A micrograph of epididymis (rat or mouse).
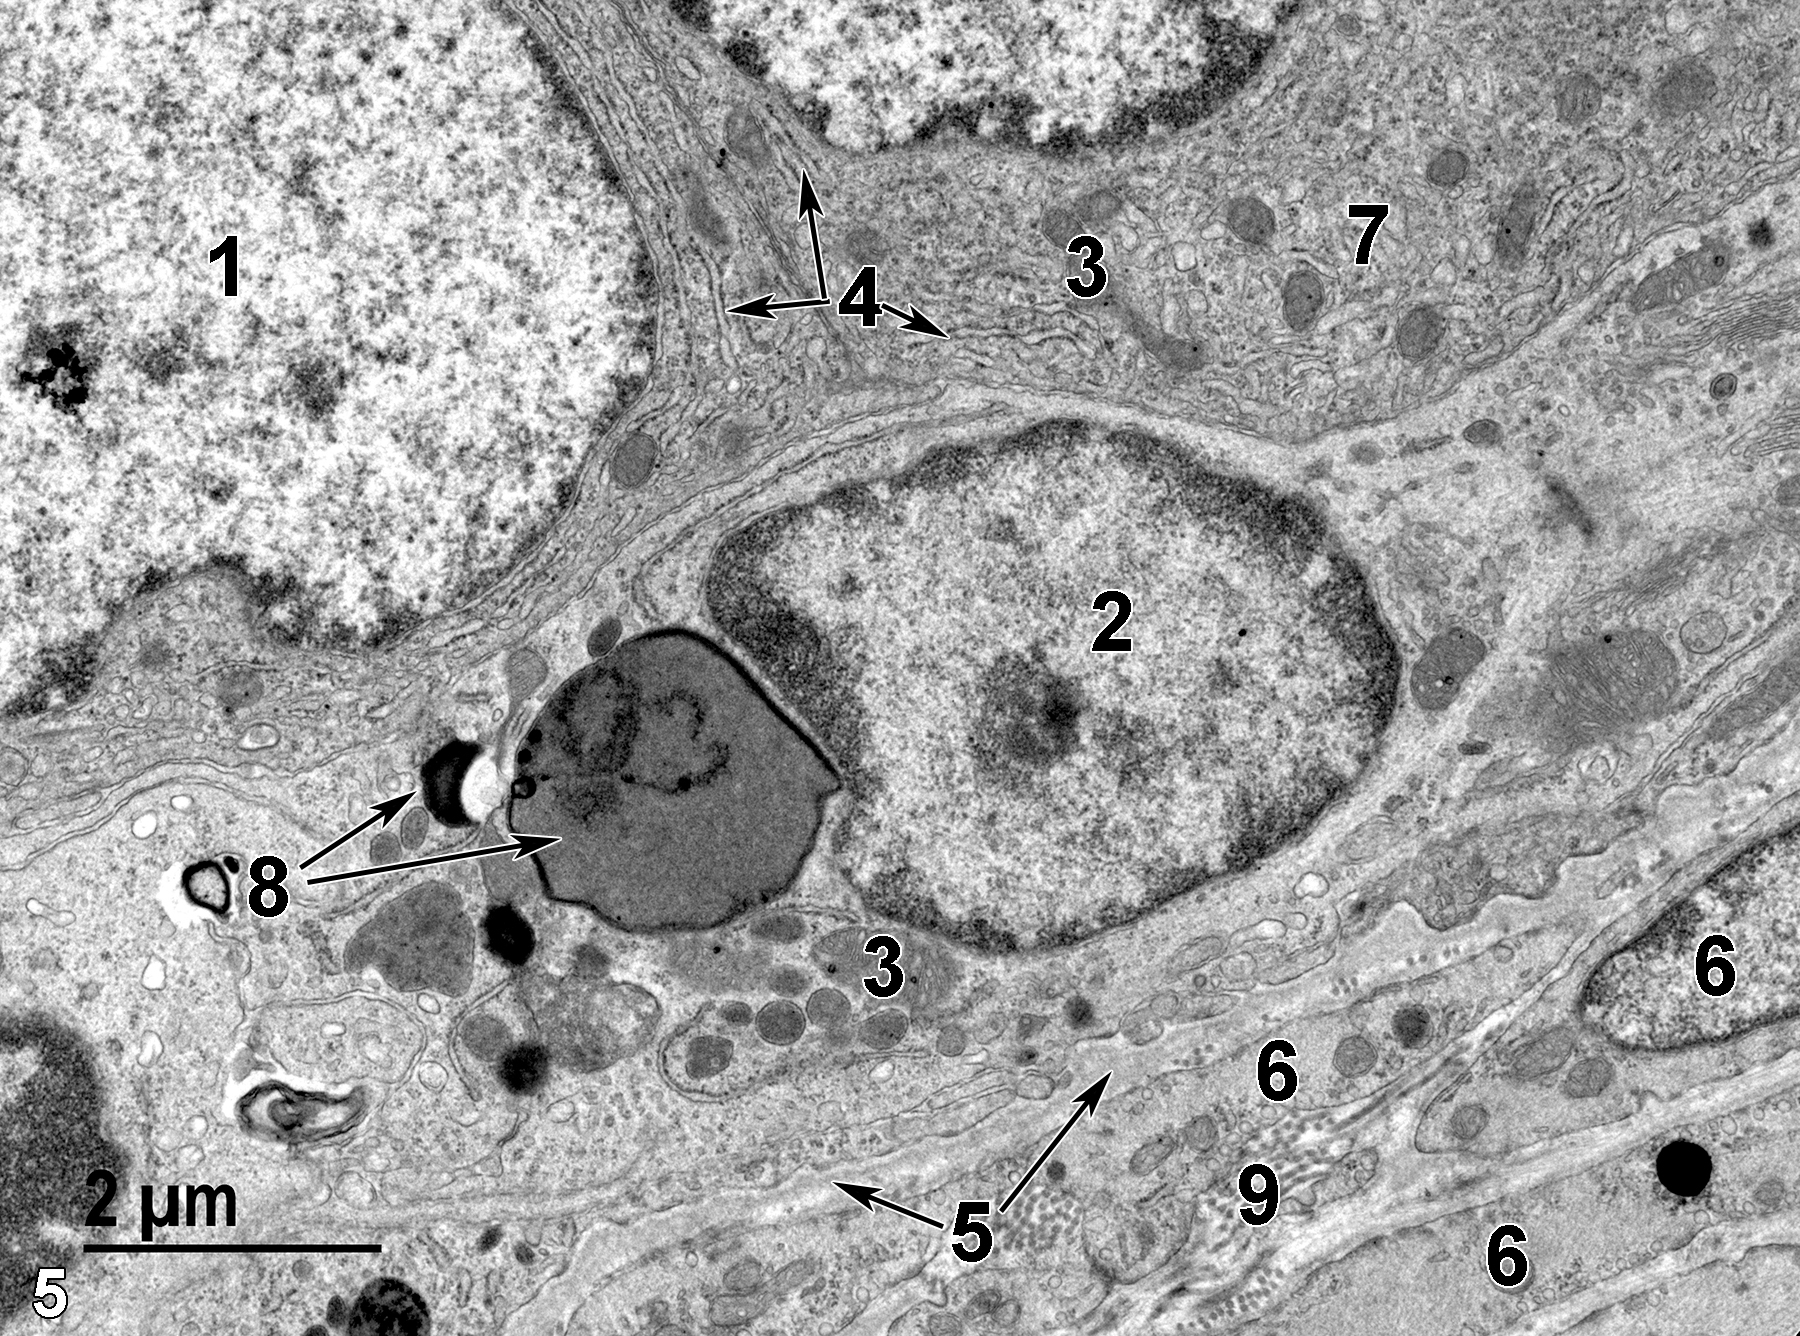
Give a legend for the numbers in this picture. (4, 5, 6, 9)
(4) rough endoplasmic reticulum
(5) basal lamina
(6) smooth muscle cells
(9) collagen fibers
